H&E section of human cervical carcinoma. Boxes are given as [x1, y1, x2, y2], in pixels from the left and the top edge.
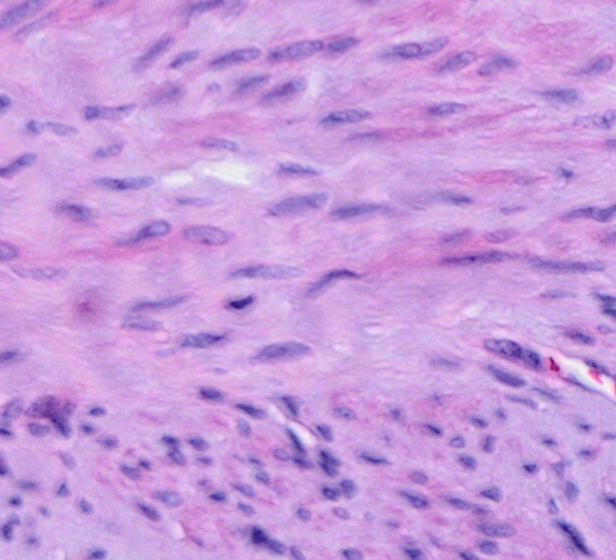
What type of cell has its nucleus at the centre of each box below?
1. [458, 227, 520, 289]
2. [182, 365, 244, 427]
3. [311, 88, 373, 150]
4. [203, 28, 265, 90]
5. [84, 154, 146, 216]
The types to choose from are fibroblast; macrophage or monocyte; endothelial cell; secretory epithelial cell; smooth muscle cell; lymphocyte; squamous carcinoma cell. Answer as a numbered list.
1. smooth muscle cell
2. fibroblast
3. fibroblast
4. smooth muscle cell
5. fibroblast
